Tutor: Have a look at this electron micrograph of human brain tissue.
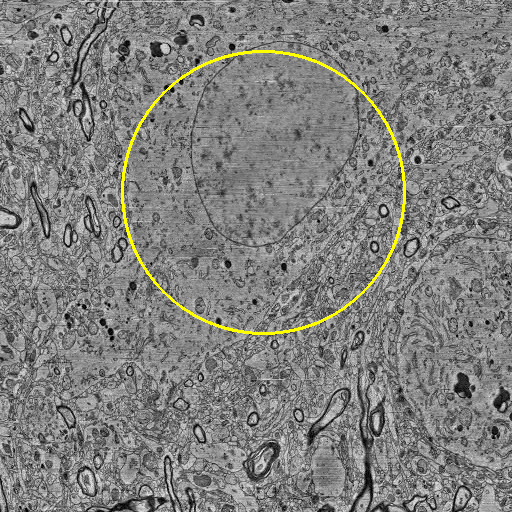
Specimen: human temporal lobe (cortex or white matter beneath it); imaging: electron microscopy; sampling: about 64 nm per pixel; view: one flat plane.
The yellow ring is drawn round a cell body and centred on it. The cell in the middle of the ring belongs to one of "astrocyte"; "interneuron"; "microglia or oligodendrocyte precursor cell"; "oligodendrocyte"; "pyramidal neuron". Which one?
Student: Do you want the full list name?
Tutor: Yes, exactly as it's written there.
pyramidal neuron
